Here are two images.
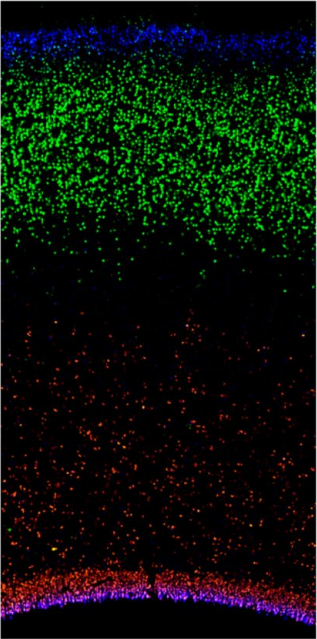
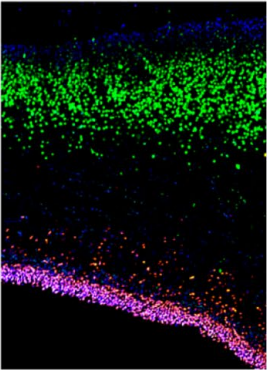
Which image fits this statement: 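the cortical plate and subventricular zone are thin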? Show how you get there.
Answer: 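Second image: the green layer and the red-cell zone are both narrow, and the whole wall is short. First image: a broad green layer and a wide zone of scattered red cells, separated by a wide cell-sparse zone.
Answer: the second image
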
